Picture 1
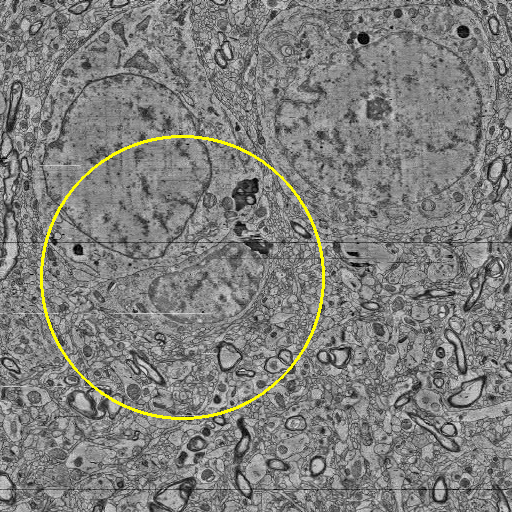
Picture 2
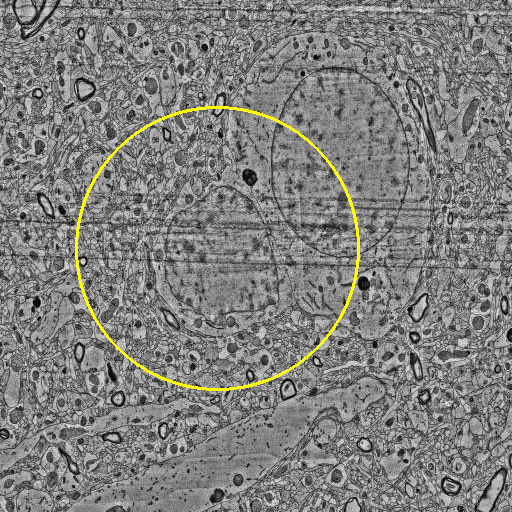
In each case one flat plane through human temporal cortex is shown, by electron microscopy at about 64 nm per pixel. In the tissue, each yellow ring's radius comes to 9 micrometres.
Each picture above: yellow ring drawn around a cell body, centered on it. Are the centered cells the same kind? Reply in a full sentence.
No, the two cells are two kinds of cell.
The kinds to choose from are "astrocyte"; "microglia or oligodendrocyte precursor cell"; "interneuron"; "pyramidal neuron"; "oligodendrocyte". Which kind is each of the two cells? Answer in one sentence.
Of the two, the first cell is an oligodendrocyte and the second cell is an interneuron.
